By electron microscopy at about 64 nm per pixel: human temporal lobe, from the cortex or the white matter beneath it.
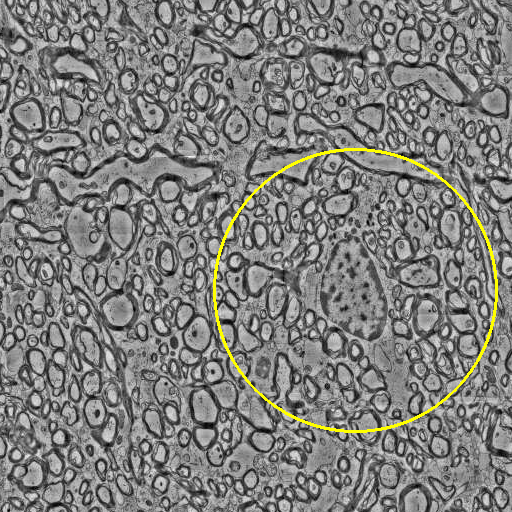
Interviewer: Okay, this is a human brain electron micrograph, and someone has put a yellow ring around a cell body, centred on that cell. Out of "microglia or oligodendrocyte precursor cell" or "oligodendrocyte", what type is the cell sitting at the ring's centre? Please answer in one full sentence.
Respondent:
The cell at the centre of the yellow ring in this picture is a microglial cell or oligodendrocyte precursor cell.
